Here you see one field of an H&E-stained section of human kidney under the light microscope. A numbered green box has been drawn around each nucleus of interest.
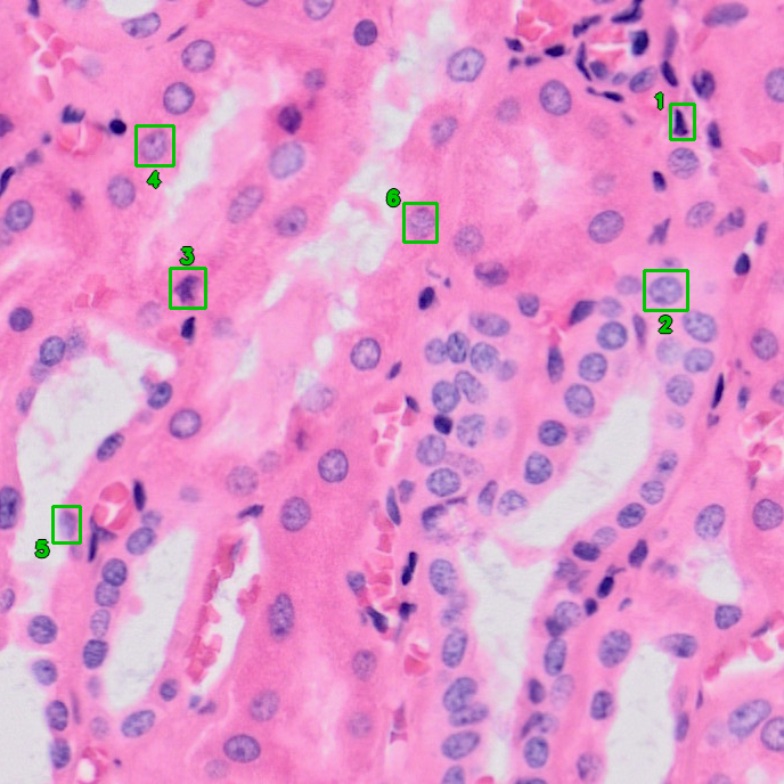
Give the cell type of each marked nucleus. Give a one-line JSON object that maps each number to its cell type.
{"1": "loop of Henle or distal tubule cell", "2": "collecting duct cell", "3": "proximal tubule cell", "4": "proximal tubule cell", "5": "loop of Henle or distal tubule cell", "6": "proximal tubule cell"}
